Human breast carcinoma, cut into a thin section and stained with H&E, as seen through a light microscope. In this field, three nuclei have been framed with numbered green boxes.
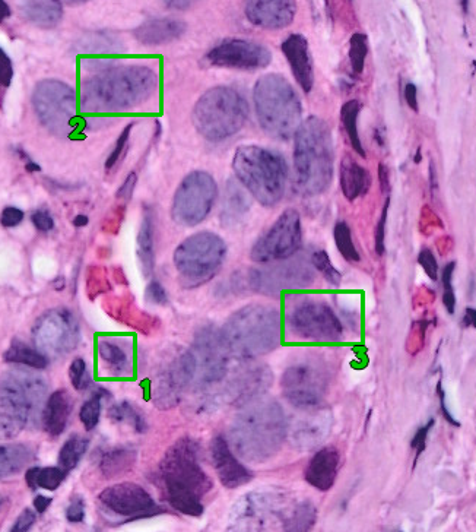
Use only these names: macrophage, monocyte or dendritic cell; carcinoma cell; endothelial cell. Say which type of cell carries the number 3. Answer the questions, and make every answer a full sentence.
In the marked set, the cell given number 3 is a carcinoma cell.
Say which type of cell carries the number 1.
At number 1, the marked cell is an endothelial cell.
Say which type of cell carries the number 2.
The numbered cell 2 in this field is a carcinoma cell.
